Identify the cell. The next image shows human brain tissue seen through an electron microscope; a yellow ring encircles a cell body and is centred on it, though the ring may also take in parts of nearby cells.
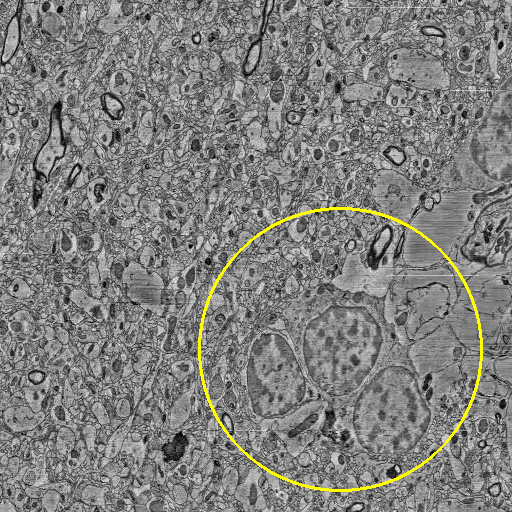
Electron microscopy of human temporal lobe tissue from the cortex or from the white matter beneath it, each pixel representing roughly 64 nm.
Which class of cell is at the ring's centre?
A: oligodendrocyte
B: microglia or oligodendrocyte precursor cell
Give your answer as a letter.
A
